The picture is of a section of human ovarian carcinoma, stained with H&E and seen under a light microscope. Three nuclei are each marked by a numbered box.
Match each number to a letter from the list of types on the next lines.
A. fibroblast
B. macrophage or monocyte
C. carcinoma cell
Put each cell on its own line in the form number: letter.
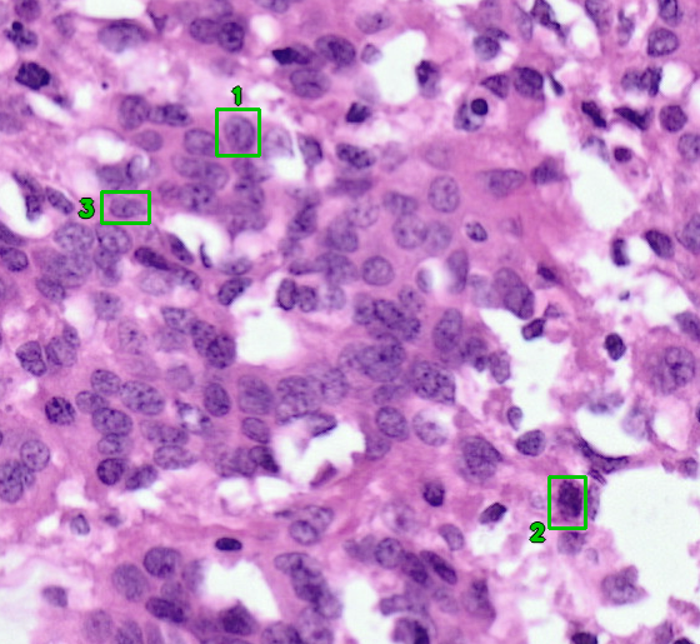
1: C
2: B
3: C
